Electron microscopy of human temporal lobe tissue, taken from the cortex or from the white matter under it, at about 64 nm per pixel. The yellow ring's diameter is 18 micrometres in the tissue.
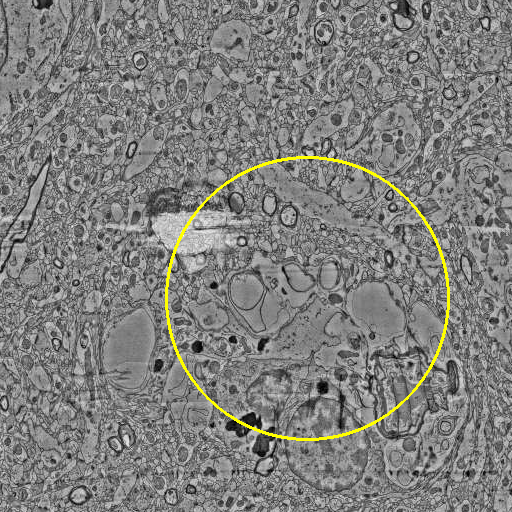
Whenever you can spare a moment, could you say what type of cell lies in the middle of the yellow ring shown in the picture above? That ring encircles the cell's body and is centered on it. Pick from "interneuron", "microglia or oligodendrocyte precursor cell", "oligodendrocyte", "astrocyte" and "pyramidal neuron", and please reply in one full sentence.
The cell whose body sits at the middle of the yellow ring is a microglial cell or oligodendrocyte precursor cell.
